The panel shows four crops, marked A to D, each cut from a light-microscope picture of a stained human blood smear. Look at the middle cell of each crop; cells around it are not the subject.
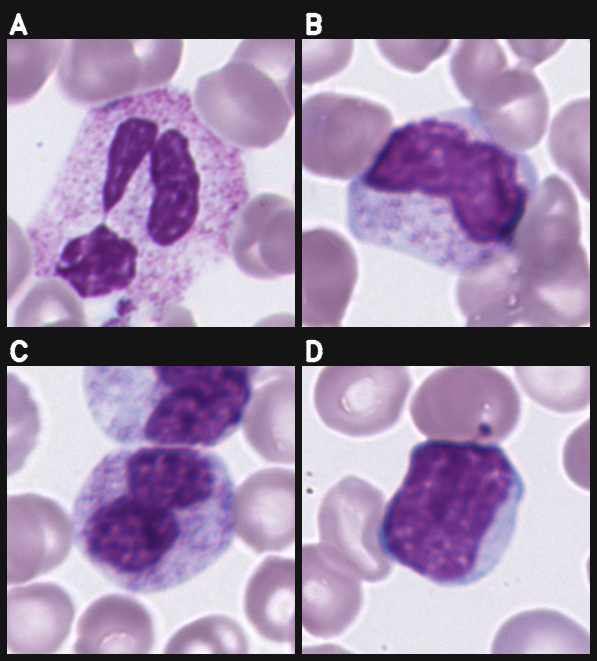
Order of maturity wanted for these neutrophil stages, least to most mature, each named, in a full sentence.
In order of rising maturity, the sequence is crop D (a myeloblast), crop B (a myelocyte), crop C (a band neutrophil) and crop A (a segmented neutrophil).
